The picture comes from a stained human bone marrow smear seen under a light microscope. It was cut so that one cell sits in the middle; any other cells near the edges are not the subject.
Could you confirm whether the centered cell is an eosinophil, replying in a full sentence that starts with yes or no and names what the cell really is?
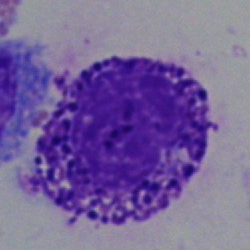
No, that would be a basophil, not an eosinophil, for the cell at the centre.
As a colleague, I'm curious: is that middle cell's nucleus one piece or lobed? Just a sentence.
The nuclear material is gathered into one compact round, oval or kidney-shaped mass.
